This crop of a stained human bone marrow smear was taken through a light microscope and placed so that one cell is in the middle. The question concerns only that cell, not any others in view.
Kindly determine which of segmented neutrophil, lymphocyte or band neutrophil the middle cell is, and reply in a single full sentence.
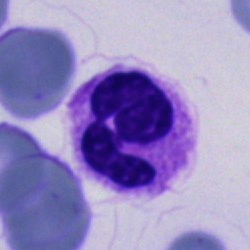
The cell marked by its central position in the crop is a segmented neutrophil.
